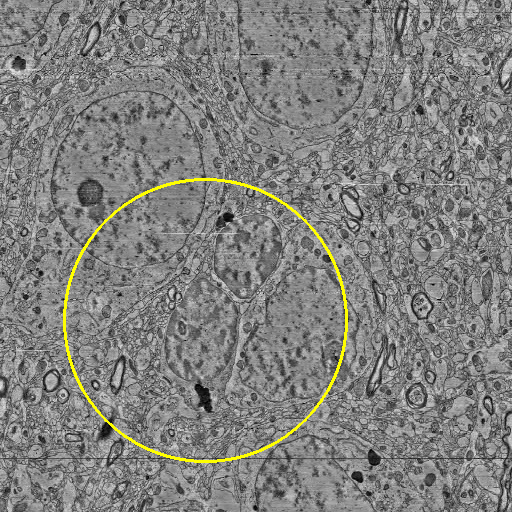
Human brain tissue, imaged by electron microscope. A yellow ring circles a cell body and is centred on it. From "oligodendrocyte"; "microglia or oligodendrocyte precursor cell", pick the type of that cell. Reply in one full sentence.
The cell body at the centre of the yellow ring belongs to an oligodendrocyte.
